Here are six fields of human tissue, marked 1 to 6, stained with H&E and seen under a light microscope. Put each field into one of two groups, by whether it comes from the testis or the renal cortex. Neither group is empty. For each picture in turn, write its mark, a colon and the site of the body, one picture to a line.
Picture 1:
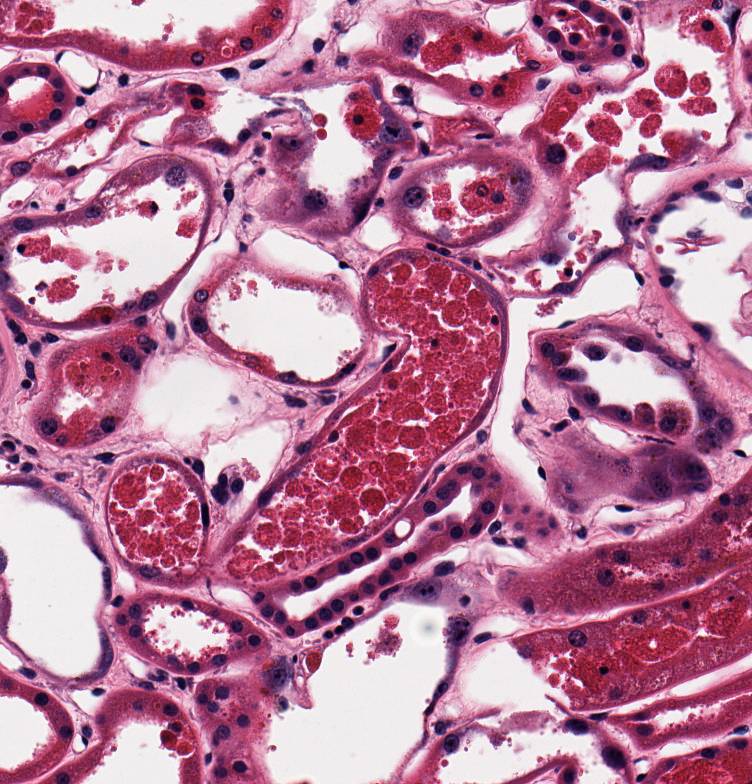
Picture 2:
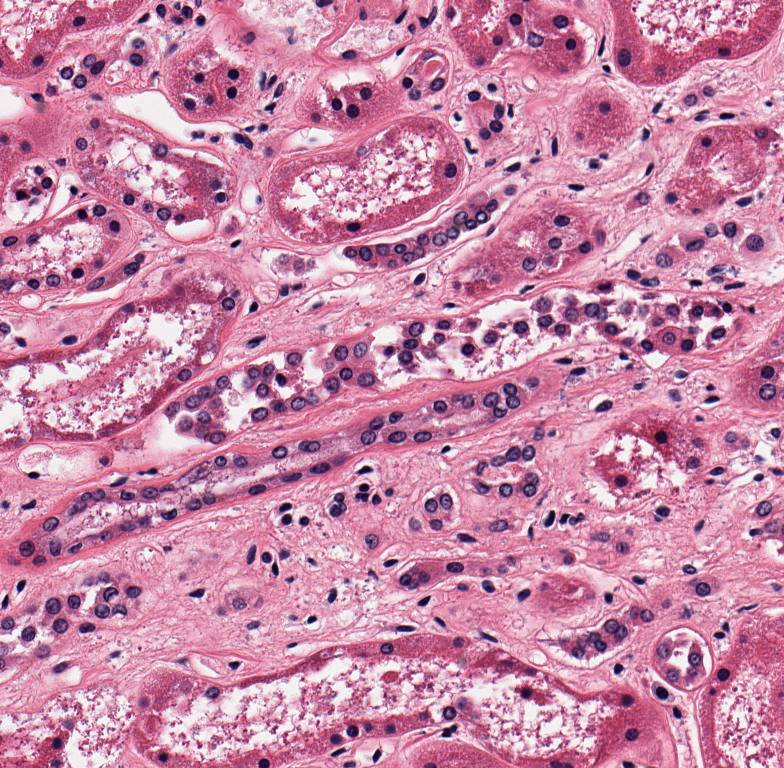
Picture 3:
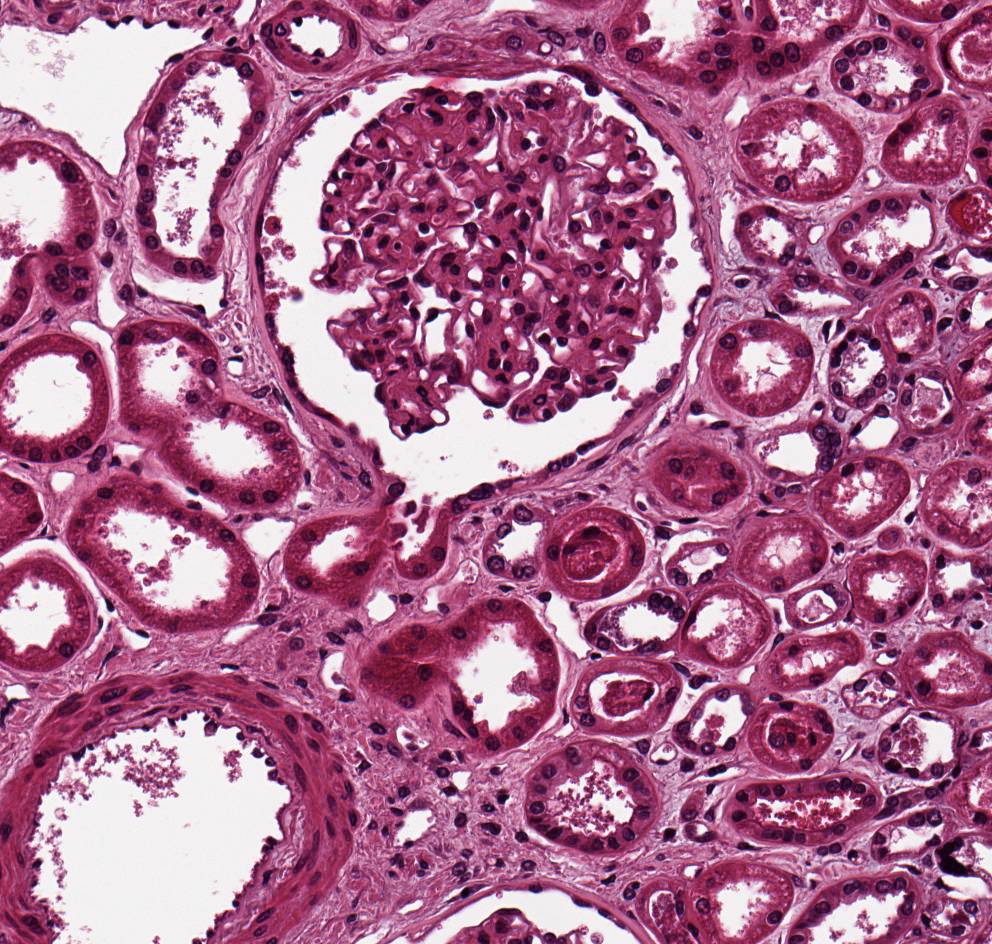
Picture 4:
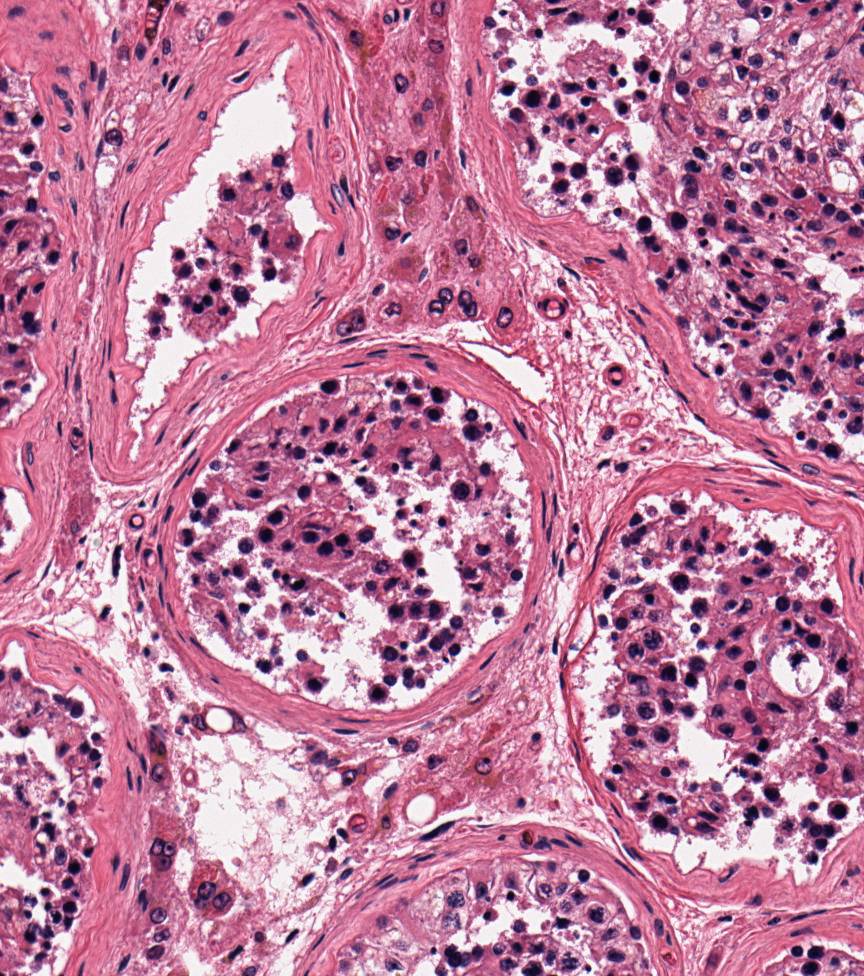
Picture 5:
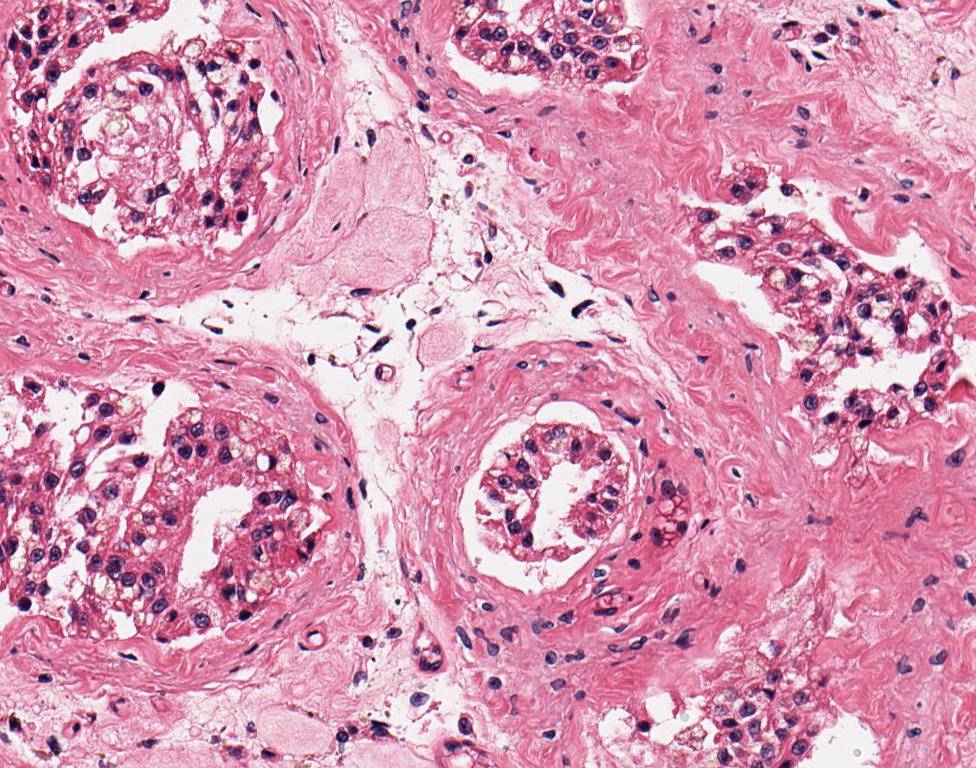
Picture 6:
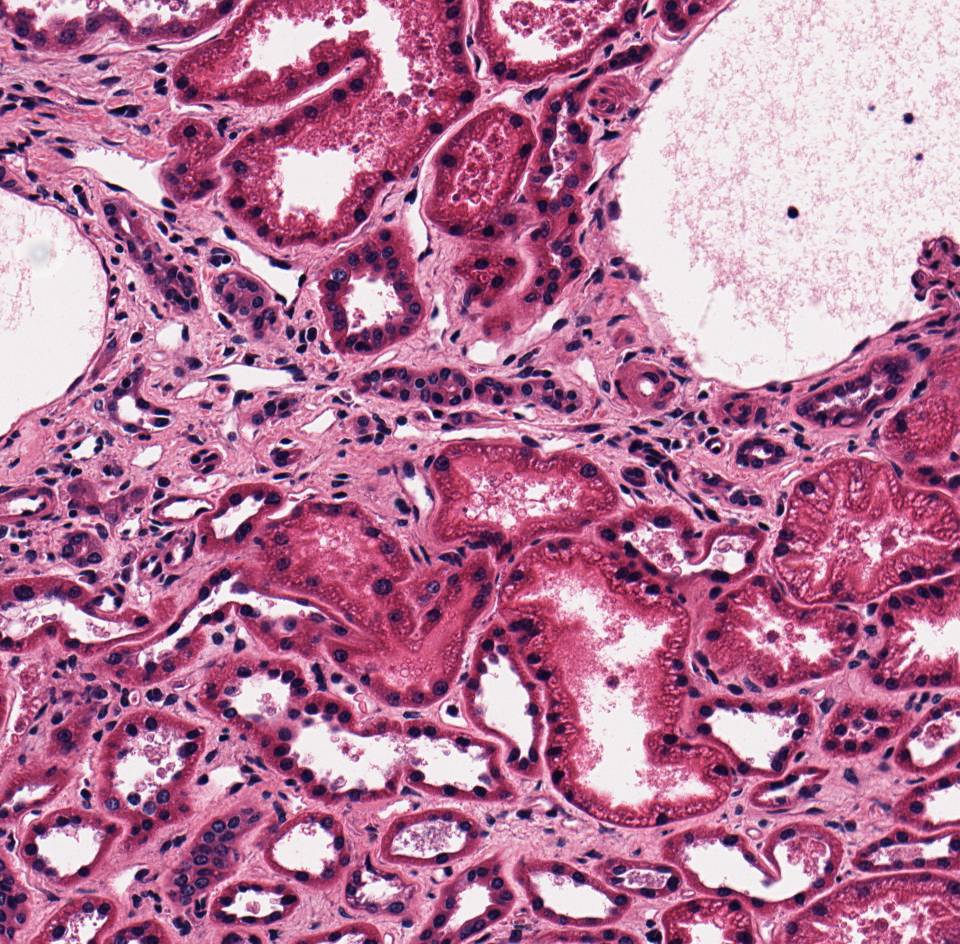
1: renal cortex
2: renal cortex
3: renal cortex
4: testis
5: testis
6: renal cortex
